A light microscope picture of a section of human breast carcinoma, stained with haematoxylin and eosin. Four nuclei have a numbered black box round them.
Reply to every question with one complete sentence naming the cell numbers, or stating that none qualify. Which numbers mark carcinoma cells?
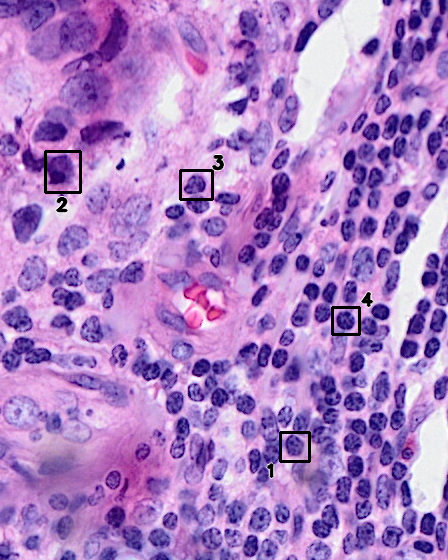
Of the marked cells, the one numbered 2 is a carcinoma cell and the rest are not.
